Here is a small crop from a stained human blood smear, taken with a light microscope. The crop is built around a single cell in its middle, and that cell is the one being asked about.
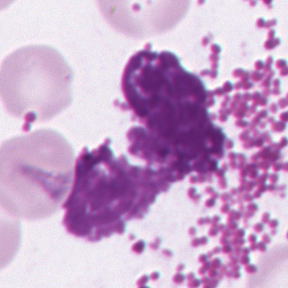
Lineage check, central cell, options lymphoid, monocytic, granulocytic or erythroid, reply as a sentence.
The centered cell is a member of the granulocytic lineage.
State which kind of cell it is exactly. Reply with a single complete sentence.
Centrally within this crop lies an eosinophil.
